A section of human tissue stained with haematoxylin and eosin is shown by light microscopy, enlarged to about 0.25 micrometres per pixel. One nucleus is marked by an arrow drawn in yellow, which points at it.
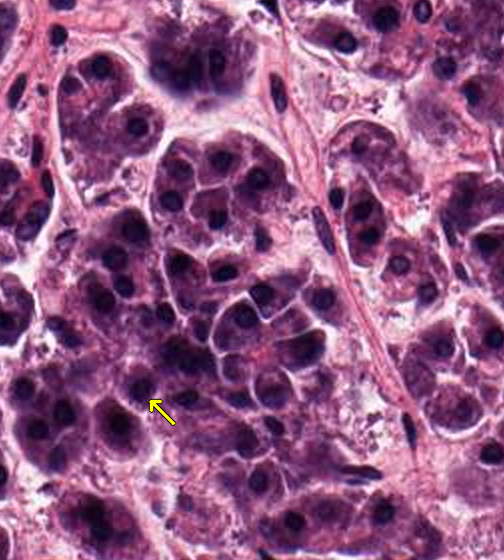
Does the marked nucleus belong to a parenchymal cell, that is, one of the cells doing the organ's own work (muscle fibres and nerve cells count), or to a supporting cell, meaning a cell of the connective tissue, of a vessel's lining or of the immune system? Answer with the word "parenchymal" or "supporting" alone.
parenchymal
